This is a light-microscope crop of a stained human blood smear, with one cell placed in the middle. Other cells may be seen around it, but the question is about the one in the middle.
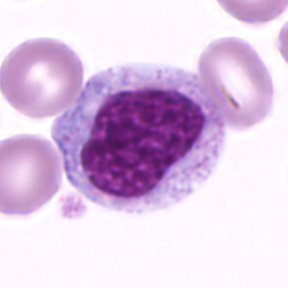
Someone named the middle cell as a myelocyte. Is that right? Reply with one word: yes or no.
no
